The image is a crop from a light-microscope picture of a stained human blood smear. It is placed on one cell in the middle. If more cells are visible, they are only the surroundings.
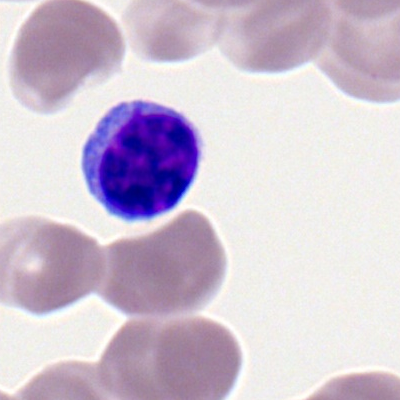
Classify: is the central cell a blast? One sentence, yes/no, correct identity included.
No, the middle cell is actually a lymphocyte rather than a blast.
